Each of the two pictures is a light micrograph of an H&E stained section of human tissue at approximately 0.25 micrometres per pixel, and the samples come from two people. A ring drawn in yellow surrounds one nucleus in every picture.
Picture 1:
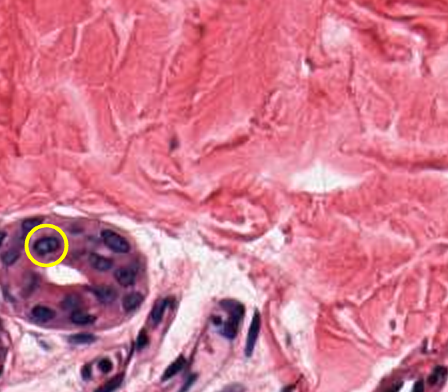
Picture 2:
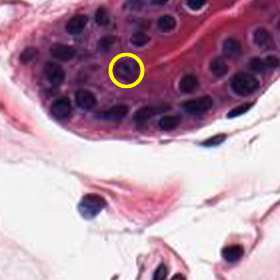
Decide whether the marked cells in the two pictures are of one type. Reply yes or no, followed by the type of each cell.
Yes, both are sweat gland cells.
